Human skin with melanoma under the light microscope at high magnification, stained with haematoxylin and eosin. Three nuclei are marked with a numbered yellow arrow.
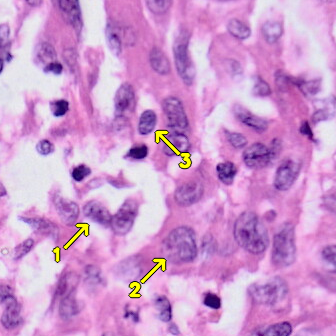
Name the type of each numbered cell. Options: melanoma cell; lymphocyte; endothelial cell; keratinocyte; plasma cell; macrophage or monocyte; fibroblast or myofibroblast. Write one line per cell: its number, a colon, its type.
1: melanoma cell
2: melanoma cell
3: lymphocyte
